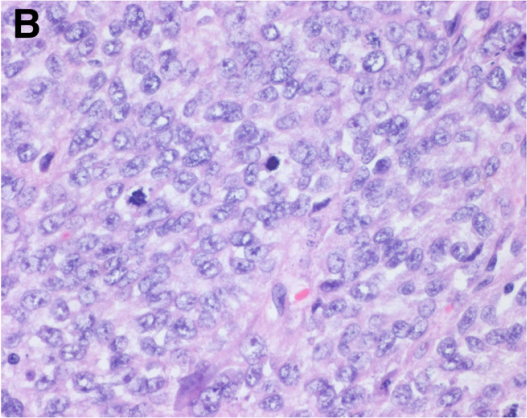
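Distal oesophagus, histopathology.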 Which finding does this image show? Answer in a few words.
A: Frequent mitoses.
